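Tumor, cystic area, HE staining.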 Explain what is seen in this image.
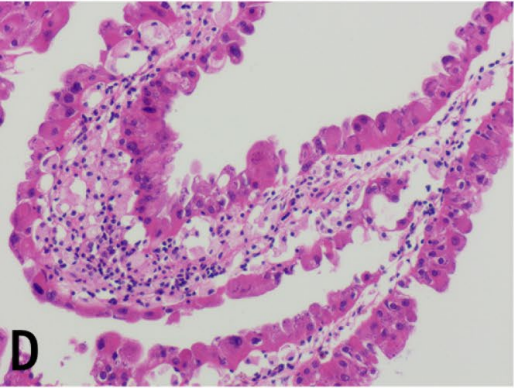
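The lining cells have pink cytoplasm and bulge into the lumen, with their nuclei near the free surface. The stroma inside the folds is loose and holds pale foamy cells together with many small dark round lymphocytes.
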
